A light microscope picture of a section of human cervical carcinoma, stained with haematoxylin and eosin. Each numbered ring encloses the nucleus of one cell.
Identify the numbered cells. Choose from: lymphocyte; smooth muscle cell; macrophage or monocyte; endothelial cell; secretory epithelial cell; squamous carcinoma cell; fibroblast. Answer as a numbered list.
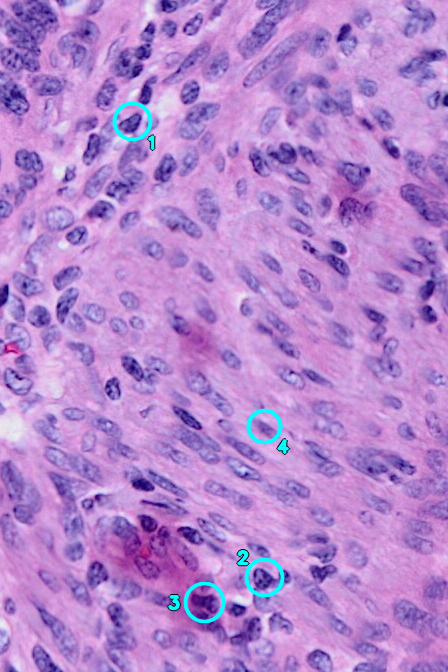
1. lymphocyte
2. lymphocyte
3. lymphocyte
4. smooth muscle cell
